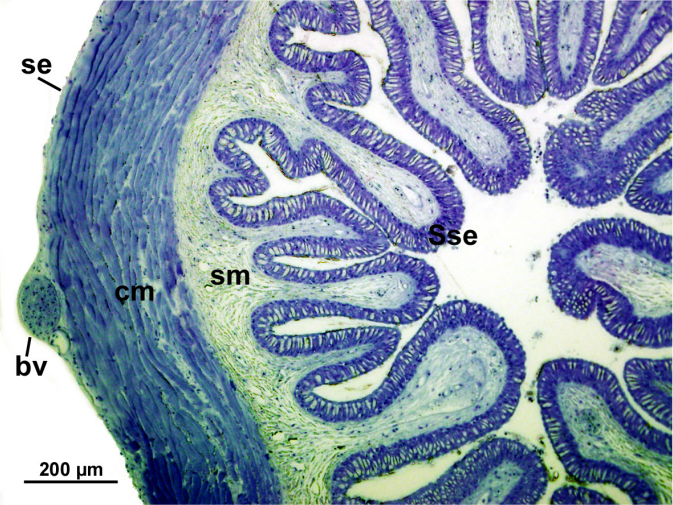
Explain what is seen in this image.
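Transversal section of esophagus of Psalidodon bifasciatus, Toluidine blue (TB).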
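Beneath the folds a pale layer of loose connective tissue with scattered nuclei forms a continuous ring. Outside it lies a thick, darker blue band of muscle with fibers running around the tube. A thin outer covering layer borders the wall, and a small rounded blood vessel bulges from its outer surface.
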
